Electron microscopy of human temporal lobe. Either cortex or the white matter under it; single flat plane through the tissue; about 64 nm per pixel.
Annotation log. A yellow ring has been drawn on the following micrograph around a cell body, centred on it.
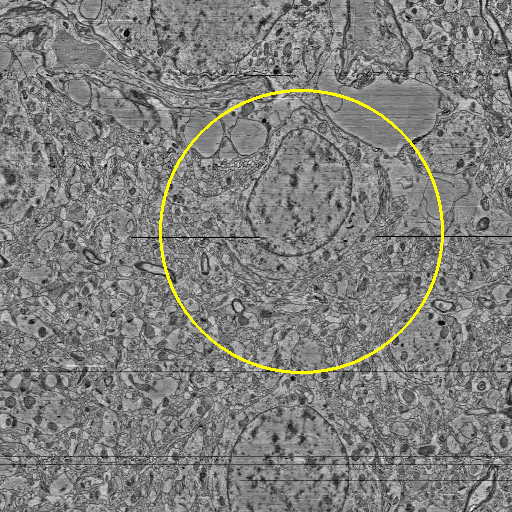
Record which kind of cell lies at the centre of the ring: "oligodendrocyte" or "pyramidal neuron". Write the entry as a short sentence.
The cell the ring is centred on is a pyramidal neuron.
